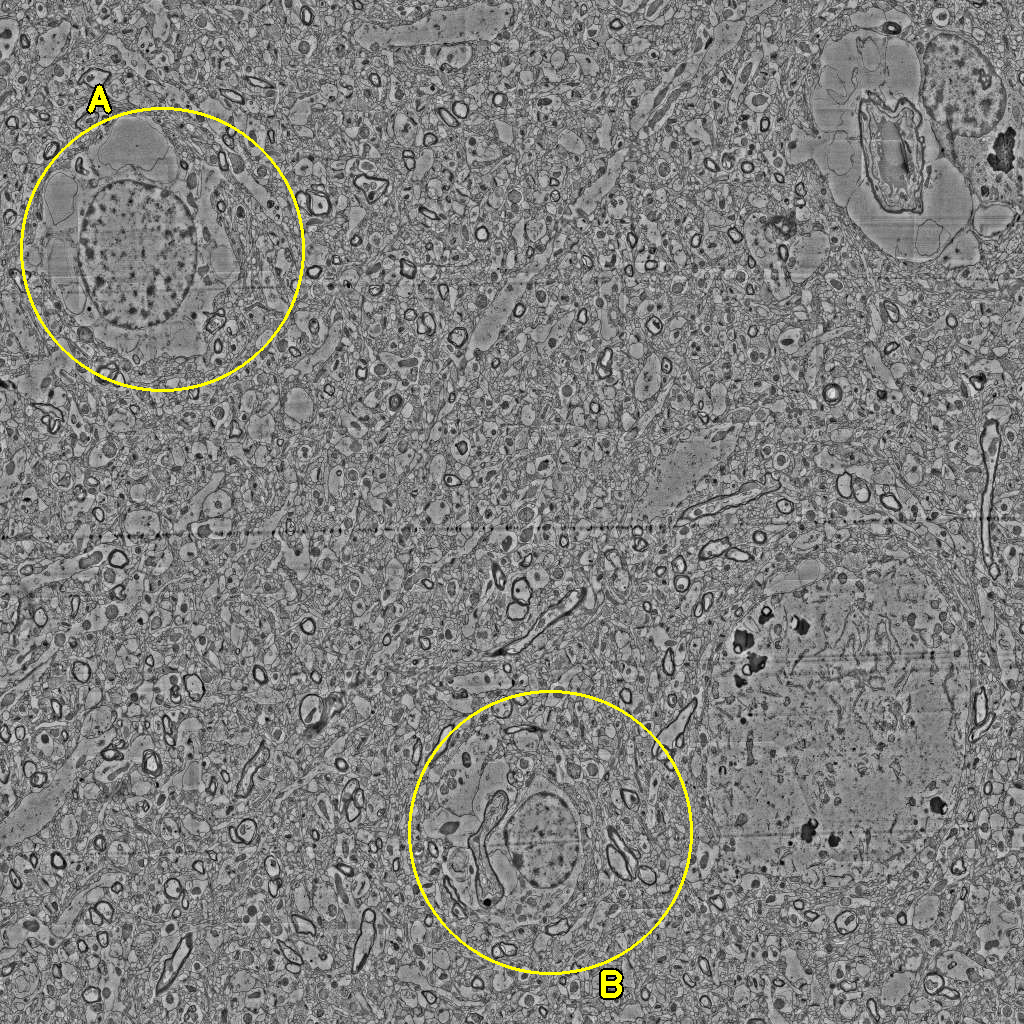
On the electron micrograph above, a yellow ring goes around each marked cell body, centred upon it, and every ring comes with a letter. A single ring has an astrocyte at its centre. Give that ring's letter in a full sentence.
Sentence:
The ring holding the cell asked for at its centre bears the letter A.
